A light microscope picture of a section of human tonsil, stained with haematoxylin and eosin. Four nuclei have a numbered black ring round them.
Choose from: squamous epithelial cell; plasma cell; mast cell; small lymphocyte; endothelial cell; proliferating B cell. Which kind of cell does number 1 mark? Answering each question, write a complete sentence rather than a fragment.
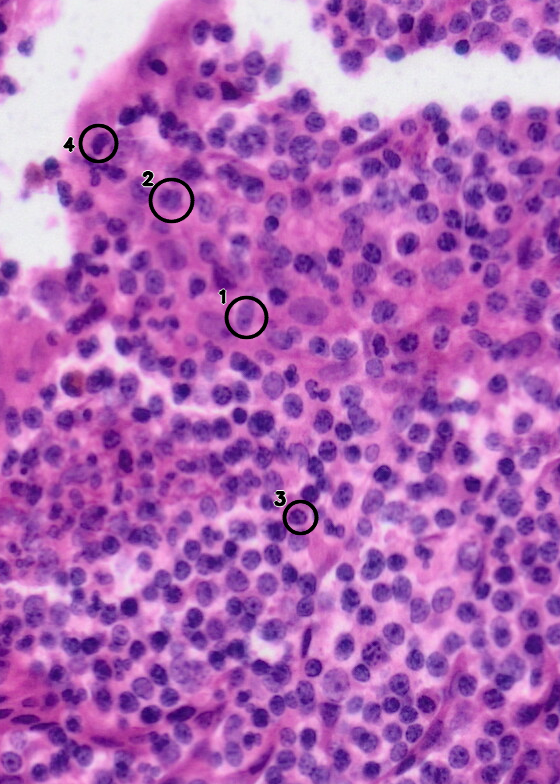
The cell indicated by marker 1 is a squamous epithelial cell in this section.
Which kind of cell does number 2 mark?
The cell referred to as 2 is a squamous epithelial cell.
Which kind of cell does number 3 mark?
Here the cell numbered 3 is a plasma cell.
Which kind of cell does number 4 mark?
The cell identified by number 4 is a squamous epithelial cell.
